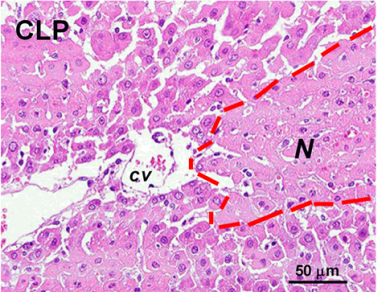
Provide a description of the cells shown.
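Liver tissue stained pink with purple nuclei: on the left a central vein containing red blood cells, surrounded by plates of polygonal hepatocytes with round nuclei separated by sinusoids. To the right a region is bounded by a red dashed line in which the hepatocytes look more uniformly pink and less distinct, with the orderly plates and sinusoids harder to make out and nuclei less crisp. Outside this region the hepatocyte cords appear better preserved. The outlined zone near the central vein is a necrotic area of the liver parenchyma.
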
